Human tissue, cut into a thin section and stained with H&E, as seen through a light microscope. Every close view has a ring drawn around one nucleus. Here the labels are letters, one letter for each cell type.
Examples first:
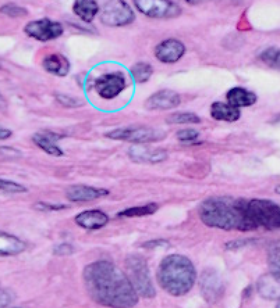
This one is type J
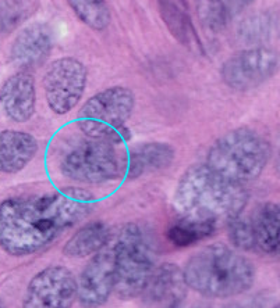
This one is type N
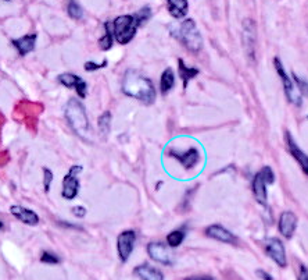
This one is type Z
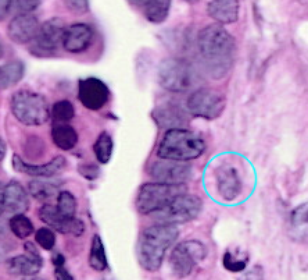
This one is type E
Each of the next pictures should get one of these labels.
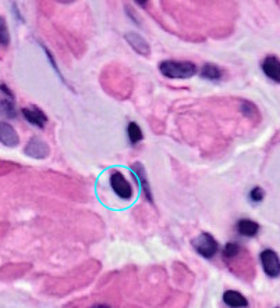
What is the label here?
type J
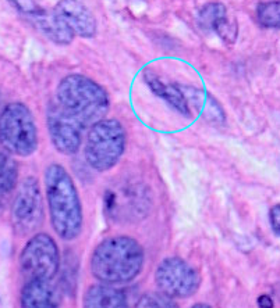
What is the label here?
type Z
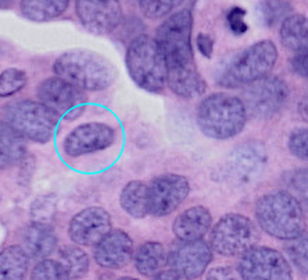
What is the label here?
type E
